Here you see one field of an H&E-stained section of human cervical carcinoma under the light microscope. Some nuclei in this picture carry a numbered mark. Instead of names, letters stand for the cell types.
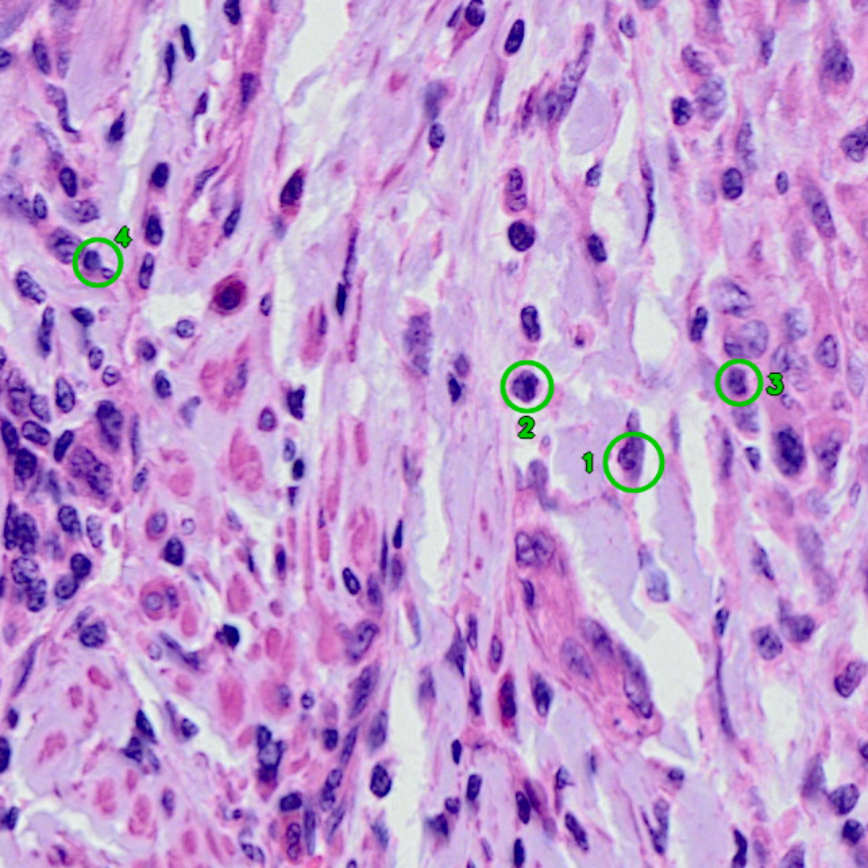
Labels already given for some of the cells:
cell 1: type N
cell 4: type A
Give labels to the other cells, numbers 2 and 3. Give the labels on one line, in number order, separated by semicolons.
type A; type A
